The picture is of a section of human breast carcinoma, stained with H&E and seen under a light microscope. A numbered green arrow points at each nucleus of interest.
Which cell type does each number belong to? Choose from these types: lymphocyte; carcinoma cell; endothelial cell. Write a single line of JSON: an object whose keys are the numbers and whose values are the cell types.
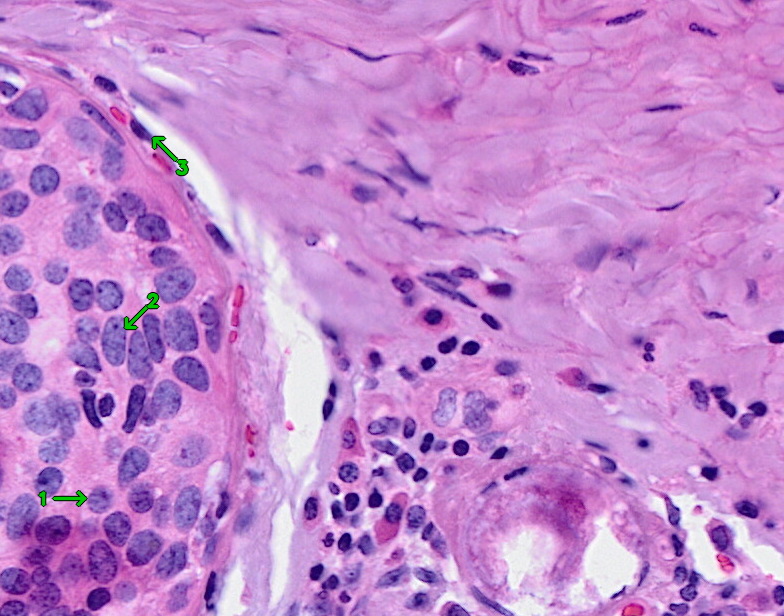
{"1": "carcinoma cell", "2": "carcinoma cell", "3": "endothelial cell"}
